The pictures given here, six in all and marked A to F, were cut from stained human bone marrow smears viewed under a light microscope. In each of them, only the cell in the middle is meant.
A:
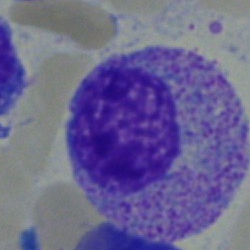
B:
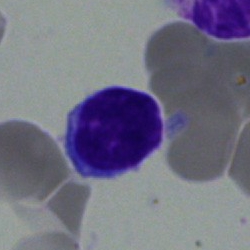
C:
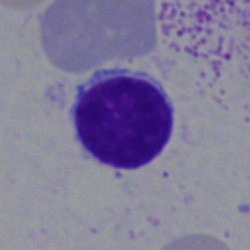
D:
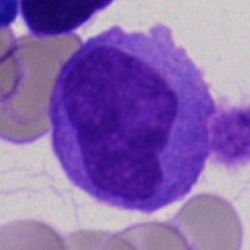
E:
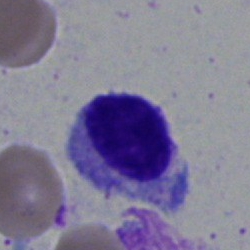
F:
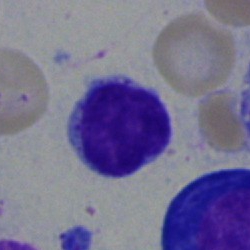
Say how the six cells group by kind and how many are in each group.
lymphocyte: 4
myelocyte: 1
monocyte: 1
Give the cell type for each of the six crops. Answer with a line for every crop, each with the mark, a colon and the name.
A: myelocyte
B: lymphocyte
C: lymphocyte
D: monocyte
E: lymphocyte
F: lymphocyte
